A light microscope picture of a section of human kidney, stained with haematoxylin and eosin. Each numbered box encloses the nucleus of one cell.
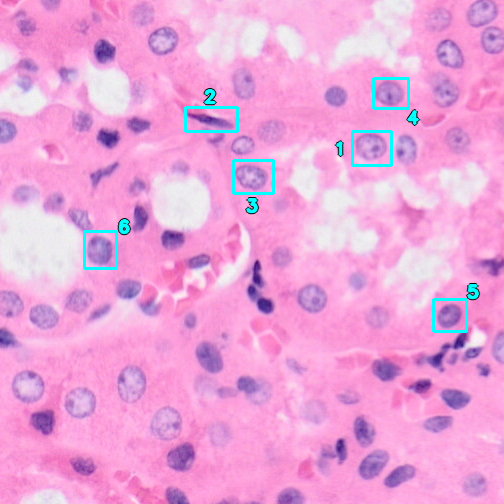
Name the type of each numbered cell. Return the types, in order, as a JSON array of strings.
["proximal tubule cell", "endothelial cell", "proximal tubule cell", "proximal tubule cell", "proximal tubule cell", "loop of Henle or distal tubule cell"]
